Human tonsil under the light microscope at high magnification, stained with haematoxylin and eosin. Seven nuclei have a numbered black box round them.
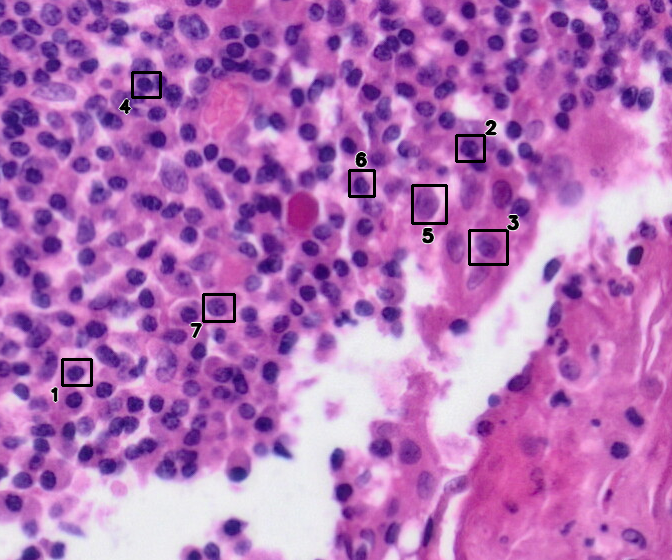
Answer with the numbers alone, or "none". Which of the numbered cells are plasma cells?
1, 2, 6, 7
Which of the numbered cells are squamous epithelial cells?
3, 5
